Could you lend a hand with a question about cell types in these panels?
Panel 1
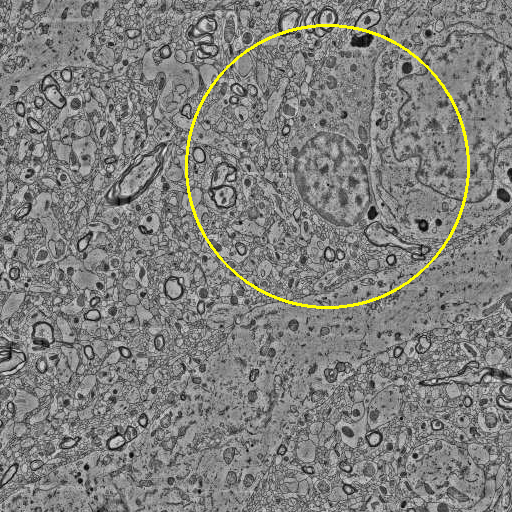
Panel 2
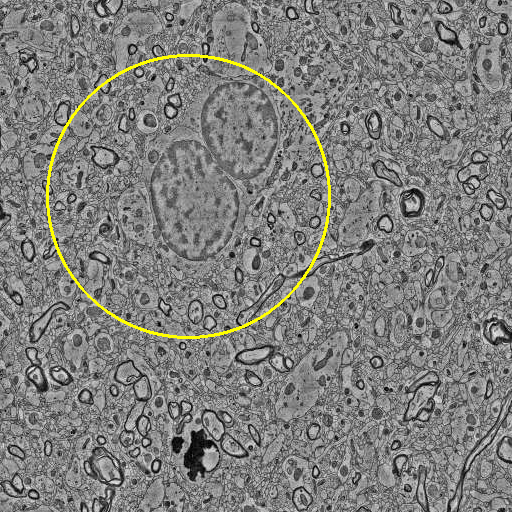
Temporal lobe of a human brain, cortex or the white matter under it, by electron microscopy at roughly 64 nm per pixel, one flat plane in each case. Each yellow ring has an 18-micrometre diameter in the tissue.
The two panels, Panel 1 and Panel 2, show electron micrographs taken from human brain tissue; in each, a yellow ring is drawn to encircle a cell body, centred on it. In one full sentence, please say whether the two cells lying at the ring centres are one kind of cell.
Yes, the cells at the ring centres in the two panels are one kind of cell.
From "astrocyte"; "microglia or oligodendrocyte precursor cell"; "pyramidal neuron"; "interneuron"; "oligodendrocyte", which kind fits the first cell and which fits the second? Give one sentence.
The ring centre holds an oligodendrocyte in each of the two pictures.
